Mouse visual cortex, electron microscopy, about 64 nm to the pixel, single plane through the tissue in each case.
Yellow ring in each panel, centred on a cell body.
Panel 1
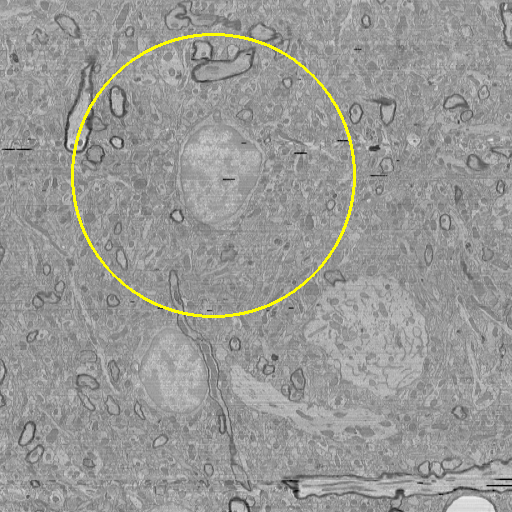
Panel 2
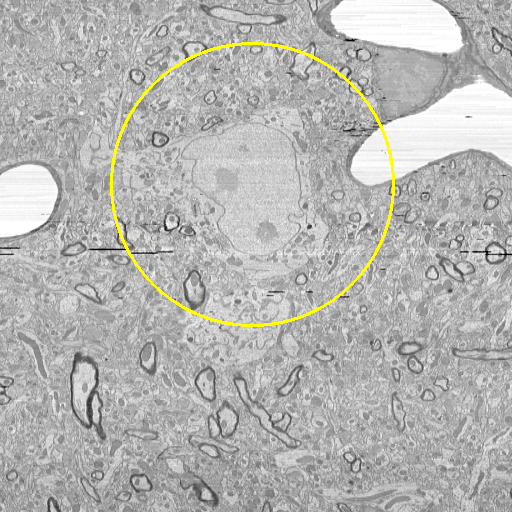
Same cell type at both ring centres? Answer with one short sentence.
No, the two cells are of two types.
